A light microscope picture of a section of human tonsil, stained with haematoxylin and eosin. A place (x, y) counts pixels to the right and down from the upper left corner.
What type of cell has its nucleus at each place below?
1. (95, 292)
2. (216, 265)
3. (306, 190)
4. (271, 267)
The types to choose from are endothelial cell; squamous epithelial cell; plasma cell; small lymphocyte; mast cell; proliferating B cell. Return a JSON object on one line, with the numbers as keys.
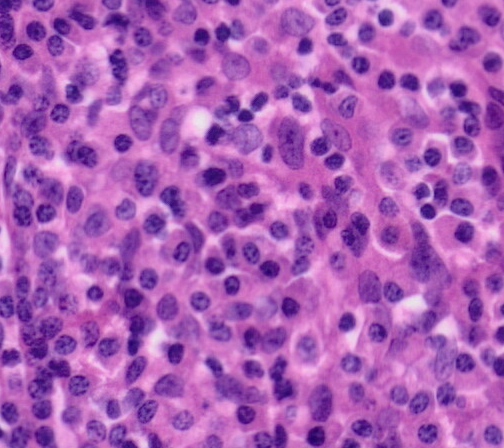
{"1": "plasma cell", "2": "plasma cell", "3": "squamous epithelial cell", "4": "plasma cell"}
